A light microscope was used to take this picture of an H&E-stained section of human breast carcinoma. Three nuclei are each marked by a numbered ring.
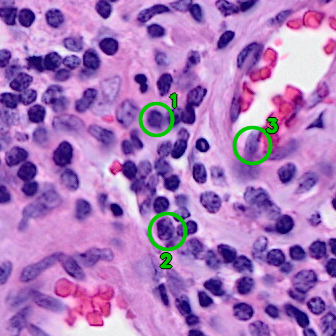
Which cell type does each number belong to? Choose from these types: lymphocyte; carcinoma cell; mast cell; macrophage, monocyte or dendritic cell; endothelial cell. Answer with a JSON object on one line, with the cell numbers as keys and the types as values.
{"1": "lymphocyte", "2": "lymphocyte", "3": "endothelial cell"}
